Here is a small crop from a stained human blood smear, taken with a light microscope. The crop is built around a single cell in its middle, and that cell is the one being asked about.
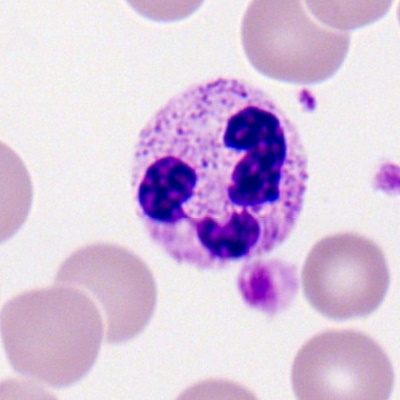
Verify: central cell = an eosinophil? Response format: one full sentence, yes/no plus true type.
No, the cell at the centre is categorised not as an eosinophil but as a neutrophil.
